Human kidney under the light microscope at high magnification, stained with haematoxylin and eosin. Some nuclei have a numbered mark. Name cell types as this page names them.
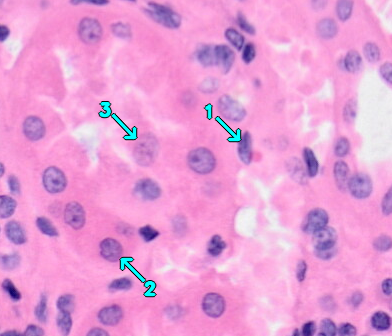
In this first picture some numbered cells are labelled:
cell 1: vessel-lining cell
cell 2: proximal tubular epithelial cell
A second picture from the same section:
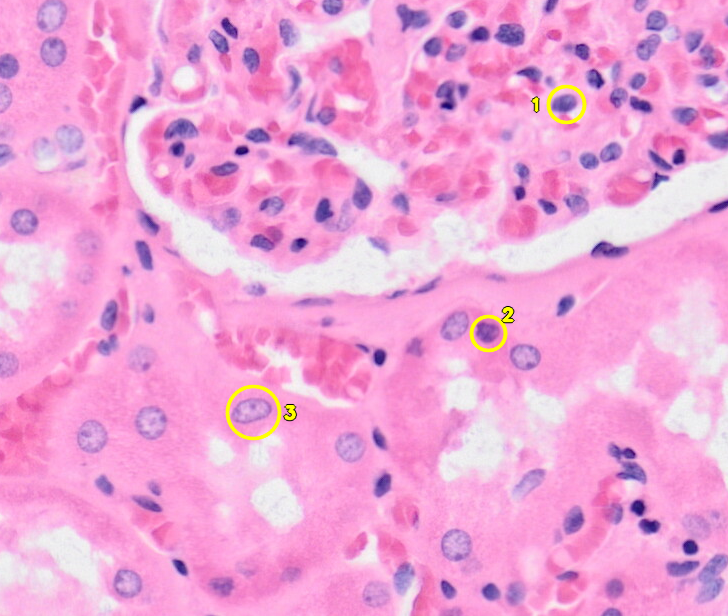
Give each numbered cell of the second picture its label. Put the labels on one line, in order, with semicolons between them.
vessel-lining cell; proximal tubular epithelial cell; proximal tubular epithelial cell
